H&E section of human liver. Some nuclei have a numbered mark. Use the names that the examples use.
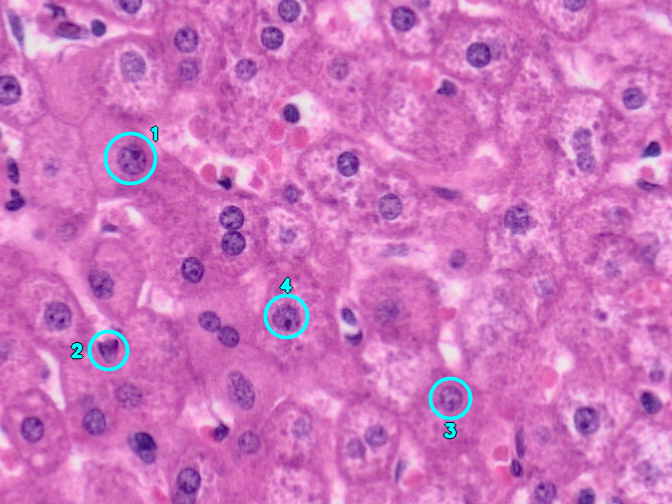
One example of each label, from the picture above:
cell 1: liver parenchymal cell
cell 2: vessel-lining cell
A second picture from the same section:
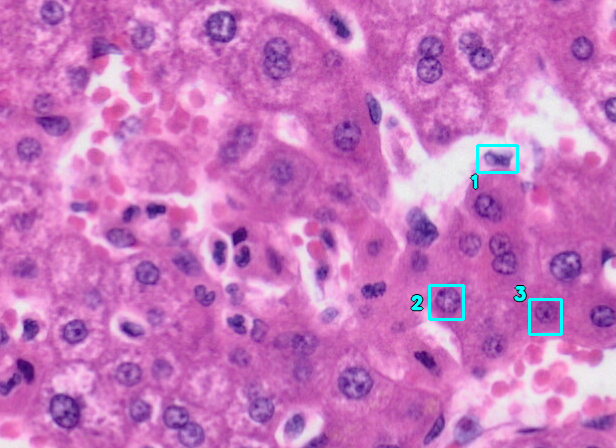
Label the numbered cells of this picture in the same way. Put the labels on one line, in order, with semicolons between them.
vessel-lining cell; liver parenchymal cell; liver parenchymal cell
